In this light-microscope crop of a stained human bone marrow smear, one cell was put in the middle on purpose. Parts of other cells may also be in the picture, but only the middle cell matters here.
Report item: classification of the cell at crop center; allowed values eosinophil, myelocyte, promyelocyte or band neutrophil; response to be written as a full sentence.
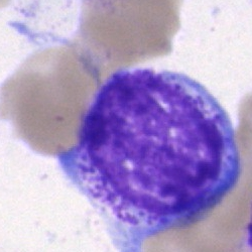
Among the cells in view, the one in the middle is a promyelocyte.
